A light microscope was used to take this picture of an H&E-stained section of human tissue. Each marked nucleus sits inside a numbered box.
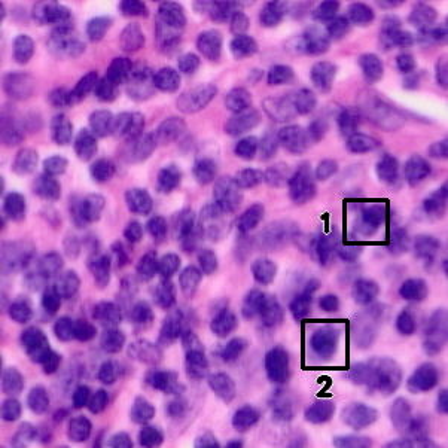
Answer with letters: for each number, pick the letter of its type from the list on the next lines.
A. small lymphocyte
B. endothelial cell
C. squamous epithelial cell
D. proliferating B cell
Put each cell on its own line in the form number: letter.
1: A
2: D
